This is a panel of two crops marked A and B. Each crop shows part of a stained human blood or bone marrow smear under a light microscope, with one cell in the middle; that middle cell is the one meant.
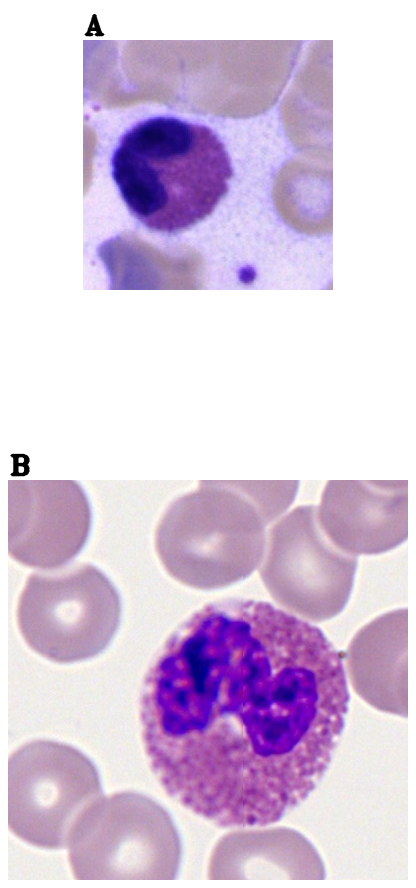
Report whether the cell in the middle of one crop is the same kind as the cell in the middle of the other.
yes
